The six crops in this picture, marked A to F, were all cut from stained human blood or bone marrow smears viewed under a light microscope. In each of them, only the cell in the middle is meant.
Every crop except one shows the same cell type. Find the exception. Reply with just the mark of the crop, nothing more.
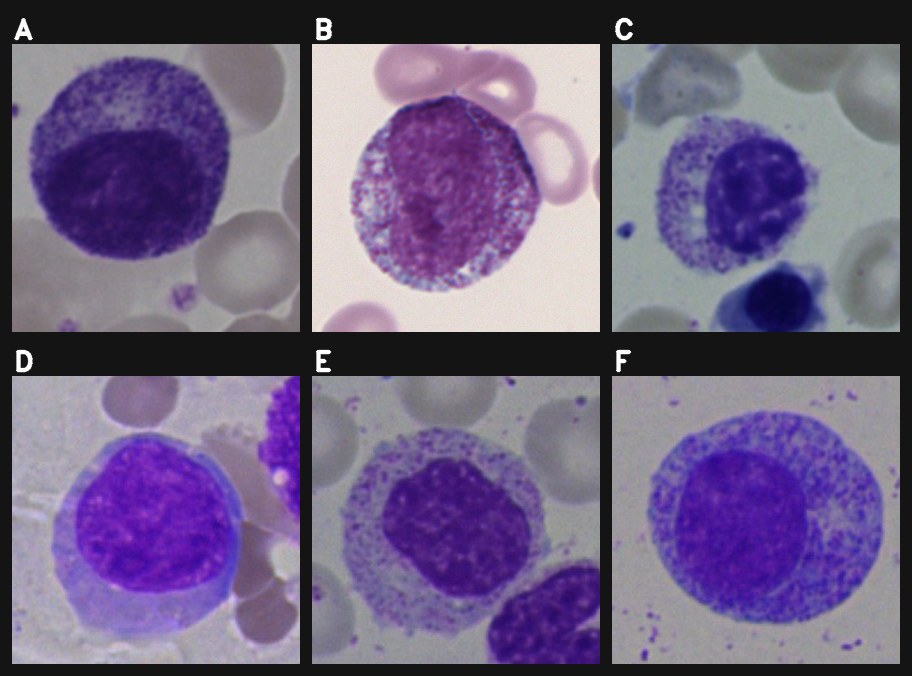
D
